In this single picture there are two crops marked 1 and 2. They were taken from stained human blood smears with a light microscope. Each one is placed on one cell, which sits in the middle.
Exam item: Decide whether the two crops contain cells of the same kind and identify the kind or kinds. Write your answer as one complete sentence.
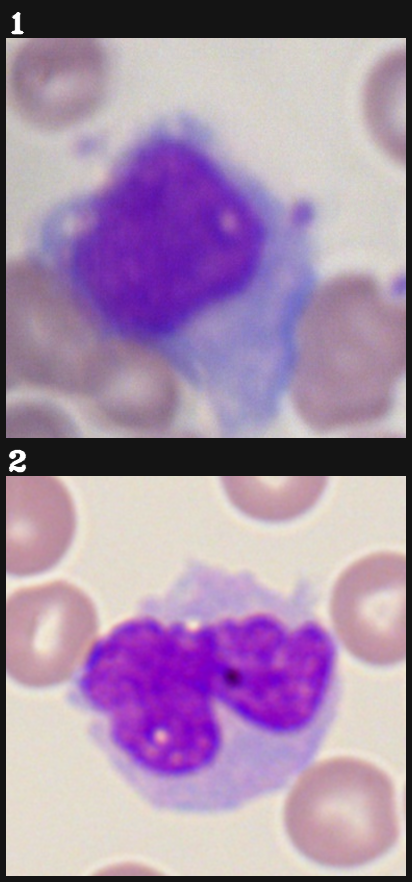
Yes, both of the crops in this pair show monocytes, one cell in each crop.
